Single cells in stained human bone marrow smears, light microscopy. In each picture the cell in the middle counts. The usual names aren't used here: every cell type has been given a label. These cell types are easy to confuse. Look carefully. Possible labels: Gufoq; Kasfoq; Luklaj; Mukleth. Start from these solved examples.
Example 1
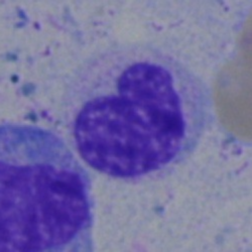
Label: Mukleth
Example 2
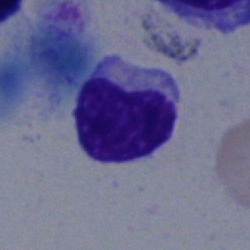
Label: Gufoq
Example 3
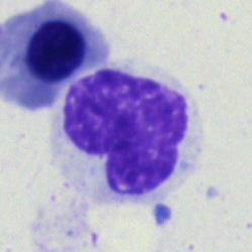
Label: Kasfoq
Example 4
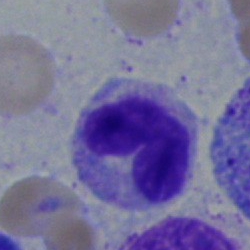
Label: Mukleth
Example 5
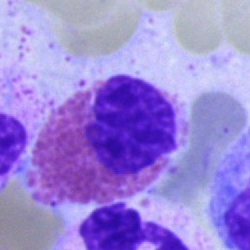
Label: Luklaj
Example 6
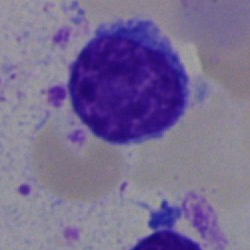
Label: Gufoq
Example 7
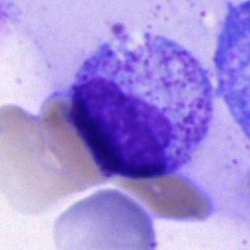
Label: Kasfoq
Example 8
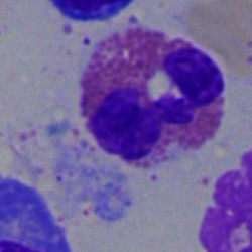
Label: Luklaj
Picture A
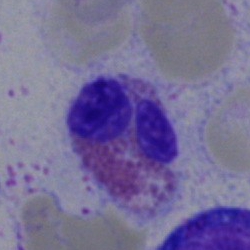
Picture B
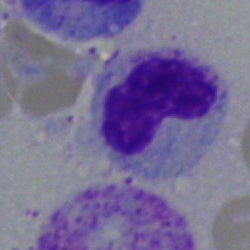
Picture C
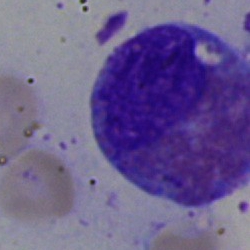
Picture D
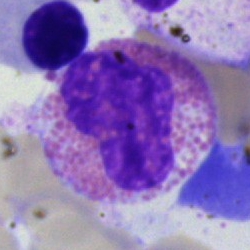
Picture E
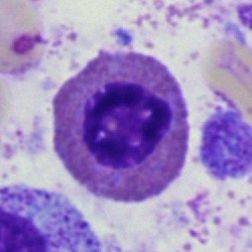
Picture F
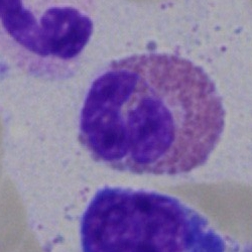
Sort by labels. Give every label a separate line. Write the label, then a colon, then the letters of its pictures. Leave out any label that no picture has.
Luklaj: A, C, D, E, F
Mukleth: B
